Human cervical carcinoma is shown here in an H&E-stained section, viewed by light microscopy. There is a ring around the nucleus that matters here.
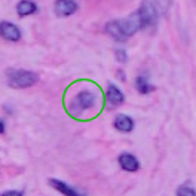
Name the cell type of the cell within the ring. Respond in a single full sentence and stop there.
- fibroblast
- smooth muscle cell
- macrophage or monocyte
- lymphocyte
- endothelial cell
The classification of the cell within the ring is as a smooth muscle cell.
